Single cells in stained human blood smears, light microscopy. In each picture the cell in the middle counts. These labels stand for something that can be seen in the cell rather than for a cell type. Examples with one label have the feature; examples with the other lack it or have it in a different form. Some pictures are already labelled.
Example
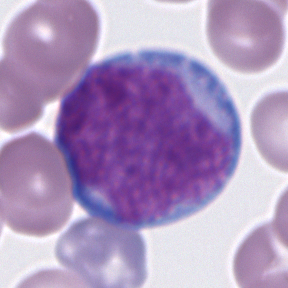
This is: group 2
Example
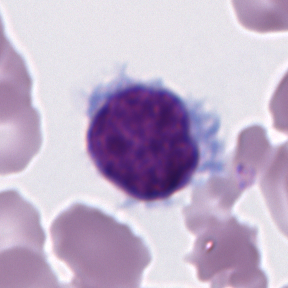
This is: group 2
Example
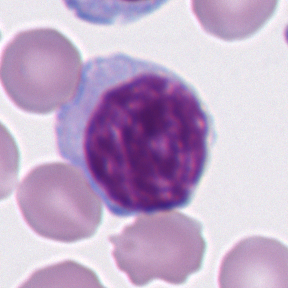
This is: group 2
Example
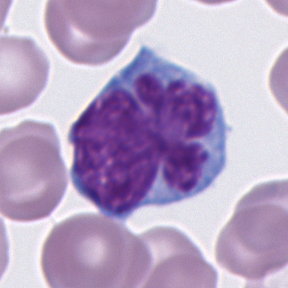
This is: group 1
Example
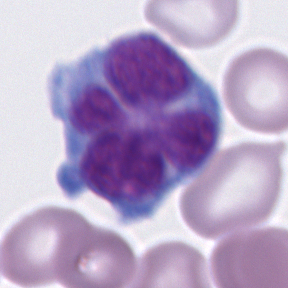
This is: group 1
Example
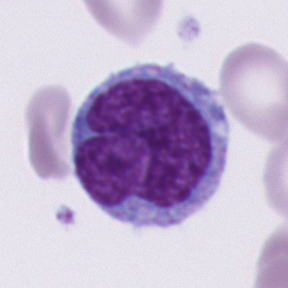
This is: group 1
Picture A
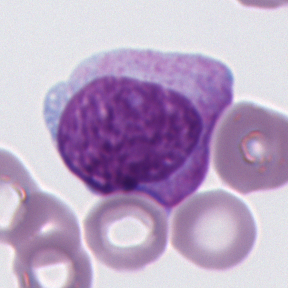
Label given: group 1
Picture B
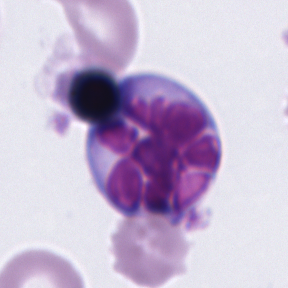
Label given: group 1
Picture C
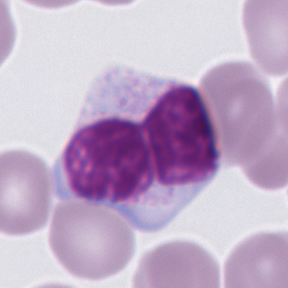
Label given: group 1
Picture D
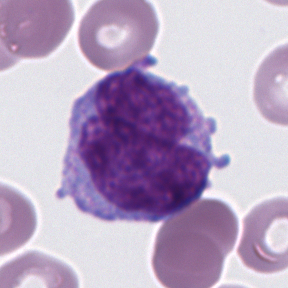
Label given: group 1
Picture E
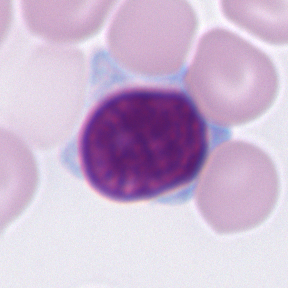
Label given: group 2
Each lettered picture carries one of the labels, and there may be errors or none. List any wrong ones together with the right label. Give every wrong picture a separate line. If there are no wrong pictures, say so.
A is labelled group 1; correct label: group 2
